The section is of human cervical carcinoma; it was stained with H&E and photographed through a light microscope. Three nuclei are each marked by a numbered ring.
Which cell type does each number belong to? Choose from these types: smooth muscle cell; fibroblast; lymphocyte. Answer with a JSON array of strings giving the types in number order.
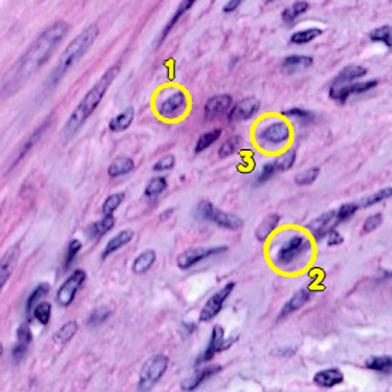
["smooth muscle cell", "lymphocyte", "smooth muscle cell"]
